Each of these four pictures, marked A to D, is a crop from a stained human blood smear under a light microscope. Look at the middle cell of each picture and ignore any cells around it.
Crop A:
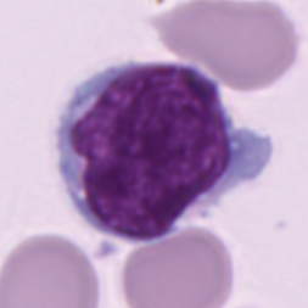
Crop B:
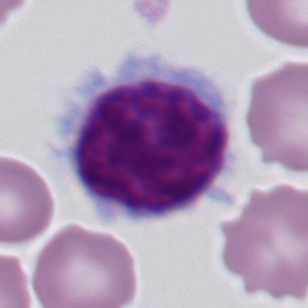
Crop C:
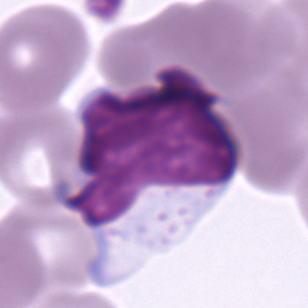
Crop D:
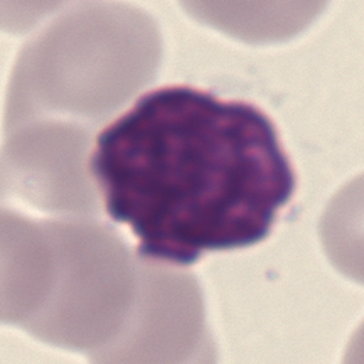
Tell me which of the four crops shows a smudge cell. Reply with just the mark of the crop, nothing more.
D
